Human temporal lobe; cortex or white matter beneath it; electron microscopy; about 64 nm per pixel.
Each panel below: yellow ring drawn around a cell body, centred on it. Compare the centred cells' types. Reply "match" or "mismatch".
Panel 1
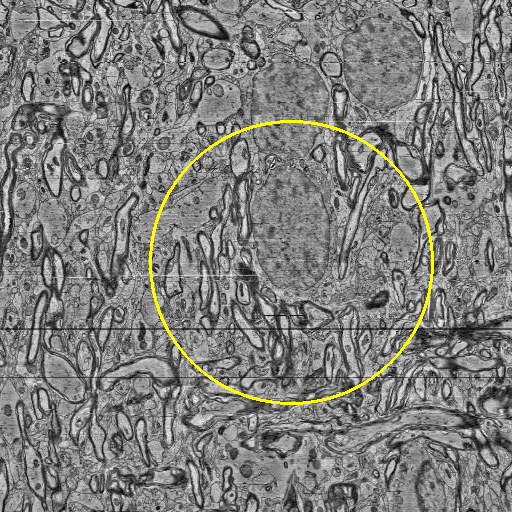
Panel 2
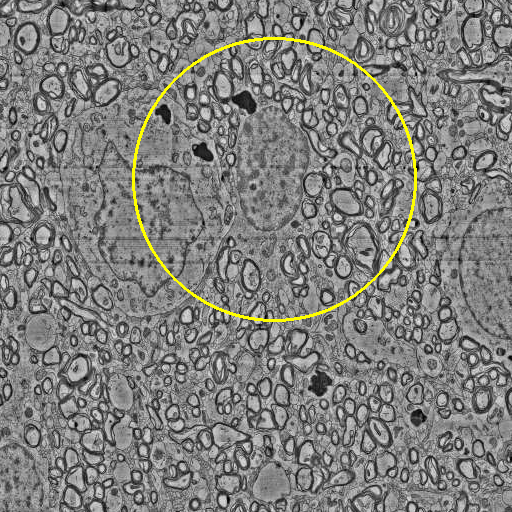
match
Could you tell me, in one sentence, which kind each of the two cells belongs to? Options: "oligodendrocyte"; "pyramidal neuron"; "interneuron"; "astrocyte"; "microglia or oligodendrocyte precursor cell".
The second cell is an oligodendrocyte, just as the first is.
